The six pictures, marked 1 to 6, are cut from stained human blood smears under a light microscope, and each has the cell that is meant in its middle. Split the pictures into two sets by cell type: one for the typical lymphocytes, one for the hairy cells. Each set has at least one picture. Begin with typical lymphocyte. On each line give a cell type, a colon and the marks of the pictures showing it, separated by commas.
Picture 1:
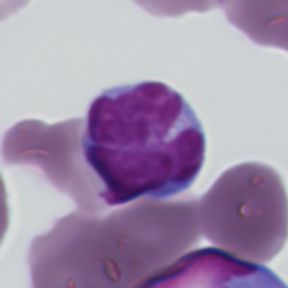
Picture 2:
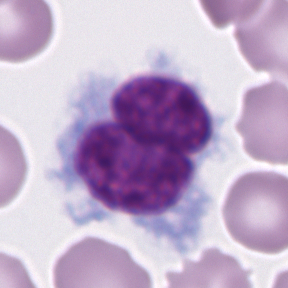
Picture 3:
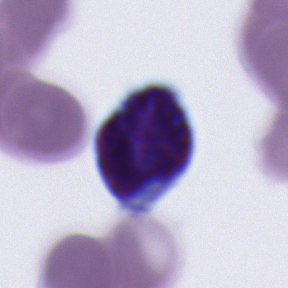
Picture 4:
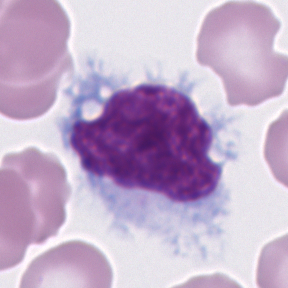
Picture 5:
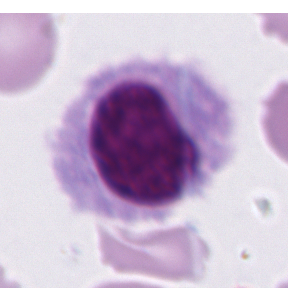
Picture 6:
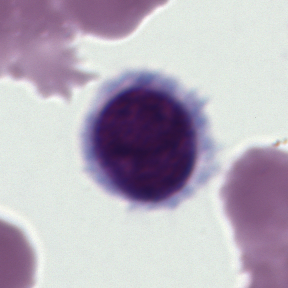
typical lymphocyte: 1, 3
hairy cell: 2, 4, 5, 6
